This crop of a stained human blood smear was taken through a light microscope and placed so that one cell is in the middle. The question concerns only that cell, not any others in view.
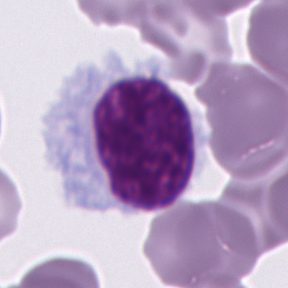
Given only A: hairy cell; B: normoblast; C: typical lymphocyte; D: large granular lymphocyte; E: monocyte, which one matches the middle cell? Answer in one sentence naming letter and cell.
Here the right option is A, as the cell in the middle is a hairy cell.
